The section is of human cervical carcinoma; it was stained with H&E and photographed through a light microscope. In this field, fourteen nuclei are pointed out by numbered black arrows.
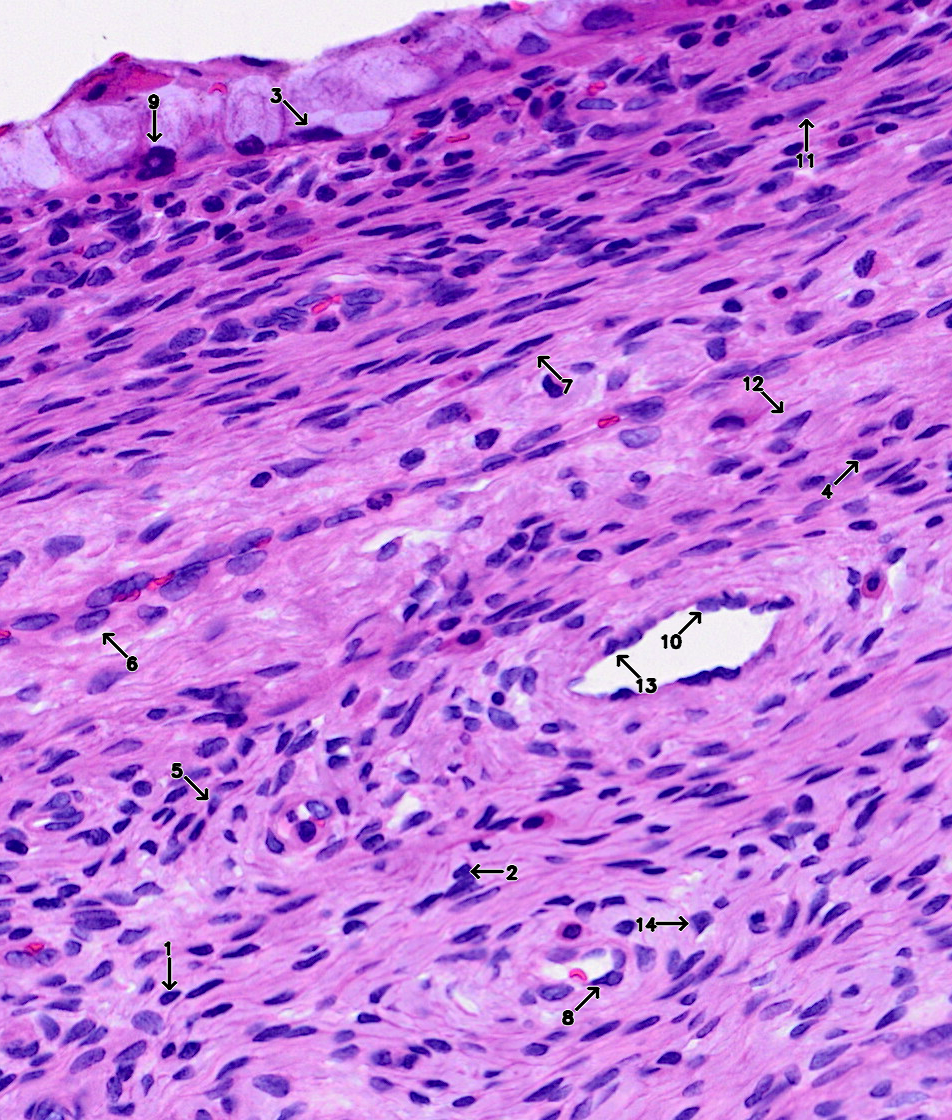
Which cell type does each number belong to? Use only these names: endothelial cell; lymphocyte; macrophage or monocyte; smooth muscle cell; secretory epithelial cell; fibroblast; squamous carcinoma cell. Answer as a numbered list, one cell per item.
1. fibroblast
2. fibroblast
3. secretory epithelial cell
4. fibroblast
5. fibroblast
6. endothelial cell
7. fibroblast
8. endothelial cell
9. secretory epithelial cell
10. endothelial cell
11. fibroblast
12. fibroblast
13. endothelial cell
14. fibroblast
